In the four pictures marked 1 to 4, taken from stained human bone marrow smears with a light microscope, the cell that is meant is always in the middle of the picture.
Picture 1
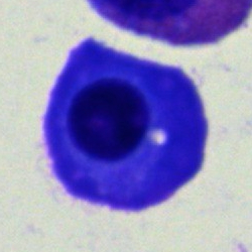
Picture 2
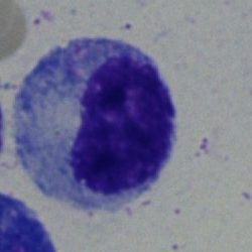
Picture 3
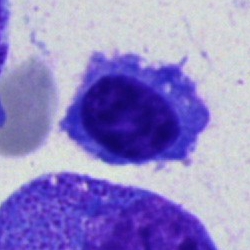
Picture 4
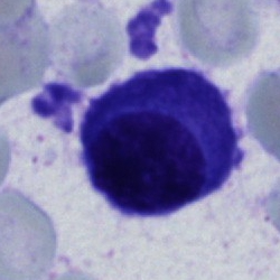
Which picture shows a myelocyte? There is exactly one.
2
